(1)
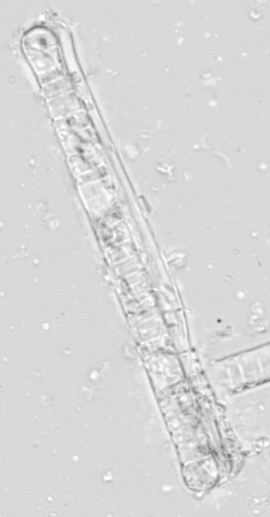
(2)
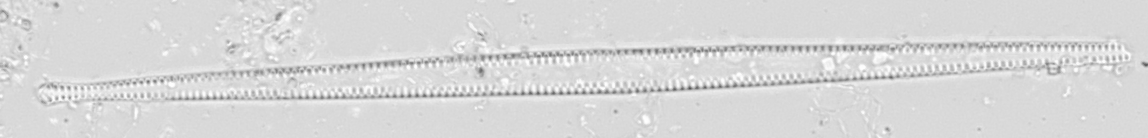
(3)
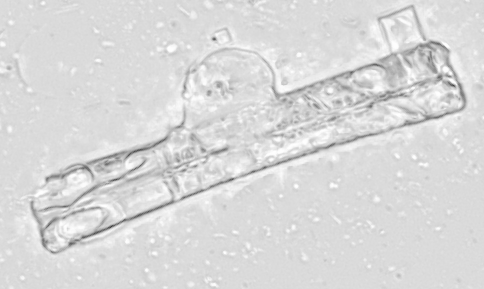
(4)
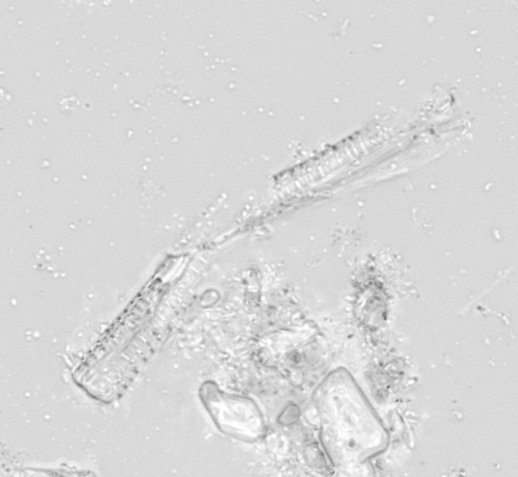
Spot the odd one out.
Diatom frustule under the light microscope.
Picture 2 (Tabularia among Diatoma).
